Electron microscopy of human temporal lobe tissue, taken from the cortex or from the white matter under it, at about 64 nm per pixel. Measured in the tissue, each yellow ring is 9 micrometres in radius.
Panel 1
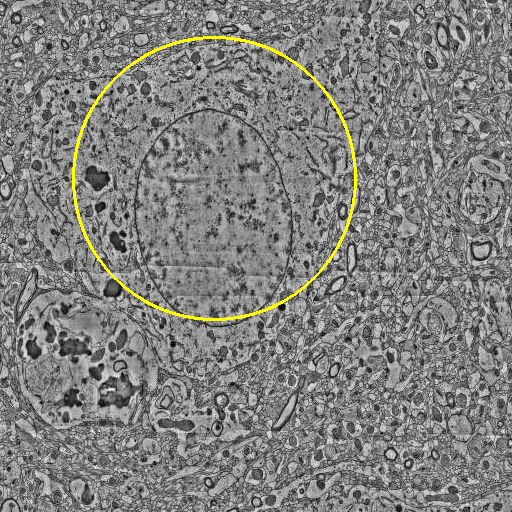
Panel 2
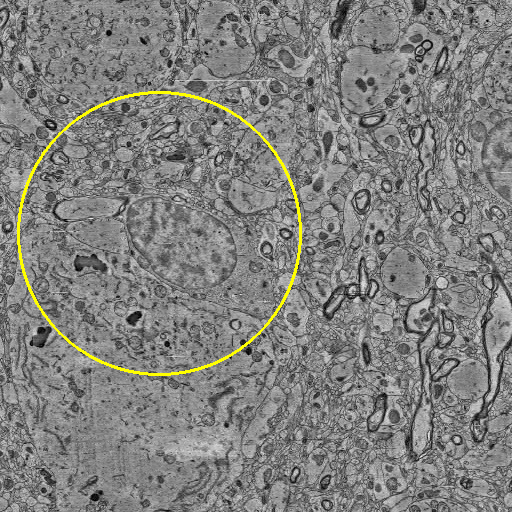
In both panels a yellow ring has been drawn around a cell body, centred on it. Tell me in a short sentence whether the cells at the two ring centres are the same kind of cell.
No, they are two kinds of cell.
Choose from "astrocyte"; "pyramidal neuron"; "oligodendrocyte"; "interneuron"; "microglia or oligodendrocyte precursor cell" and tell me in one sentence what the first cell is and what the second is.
What the first ring is centred on is a pyramidal neuron; what the second ring is centred on is an oligodendrocyte.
